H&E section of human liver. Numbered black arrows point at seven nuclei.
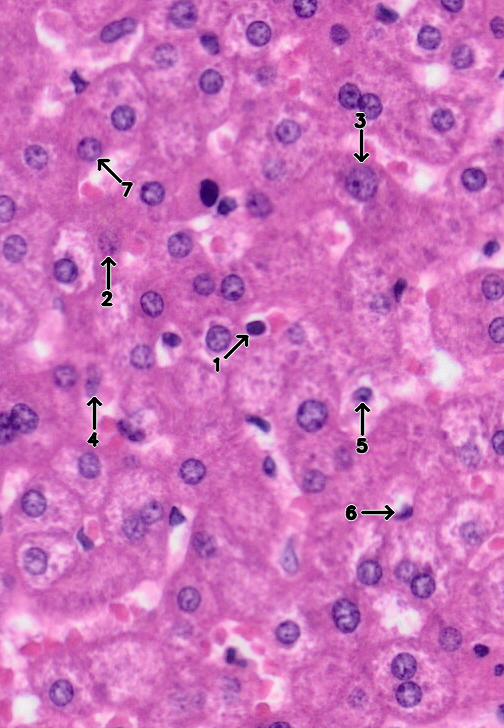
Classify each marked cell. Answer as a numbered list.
1. lymphocyte
2. hepatocyte
3. hepatocyte
4. Kupffer cell
5. lymphocyte
6. endothelial cell
7. hepatocyte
